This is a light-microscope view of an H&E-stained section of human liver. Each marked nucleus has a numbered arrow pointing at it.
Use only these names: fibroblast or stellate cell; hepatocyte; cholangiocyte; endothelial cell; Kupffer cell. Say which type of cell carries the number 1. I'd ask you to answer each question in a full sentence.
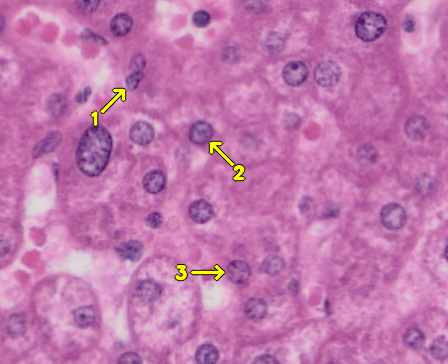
The cell that goes by number 1 is a fibroblast or stellate cell.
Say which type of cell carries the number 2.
The cell that goes by number 2 is a hepatocyte.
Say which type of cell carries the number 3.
Nucleus 3 in this section belongs to a hepatocyte.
